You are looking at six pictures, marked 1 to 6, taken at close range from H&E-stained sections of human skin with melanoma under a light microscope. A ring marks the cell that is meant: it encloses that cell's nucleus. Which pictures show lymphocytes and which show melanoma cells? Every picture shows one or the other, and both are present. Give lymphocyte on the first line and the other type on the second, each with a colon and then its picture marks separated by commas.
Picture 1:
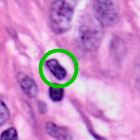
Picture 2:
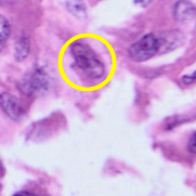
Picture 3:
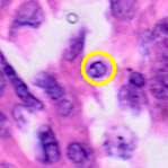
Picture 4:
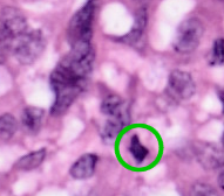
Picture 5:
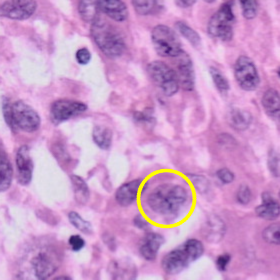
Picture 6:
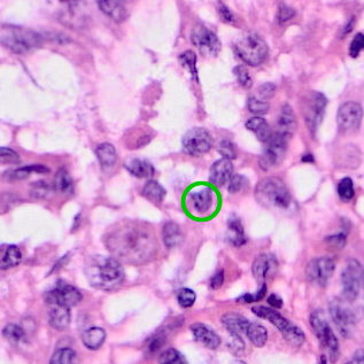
lymphocyte: 1, 3, 4
melanoma cell: 2, 5, 6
